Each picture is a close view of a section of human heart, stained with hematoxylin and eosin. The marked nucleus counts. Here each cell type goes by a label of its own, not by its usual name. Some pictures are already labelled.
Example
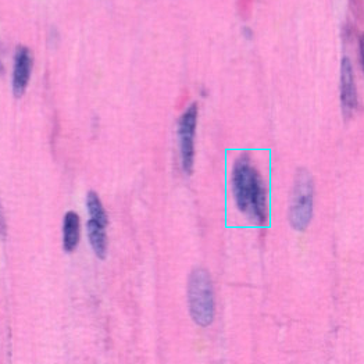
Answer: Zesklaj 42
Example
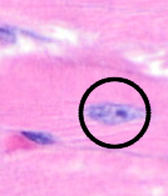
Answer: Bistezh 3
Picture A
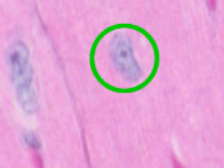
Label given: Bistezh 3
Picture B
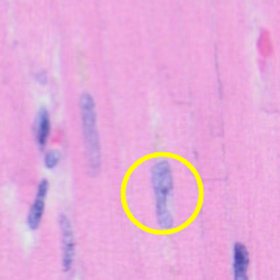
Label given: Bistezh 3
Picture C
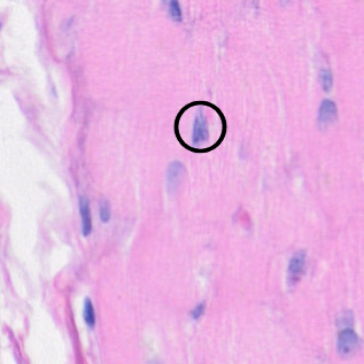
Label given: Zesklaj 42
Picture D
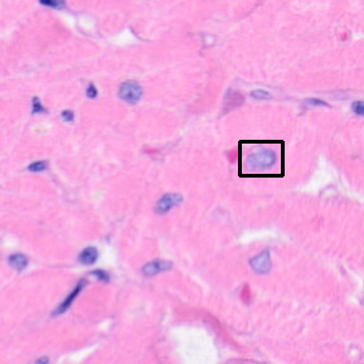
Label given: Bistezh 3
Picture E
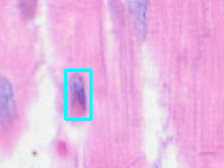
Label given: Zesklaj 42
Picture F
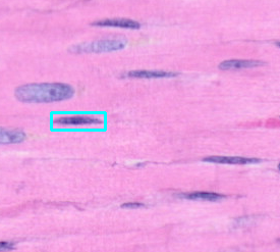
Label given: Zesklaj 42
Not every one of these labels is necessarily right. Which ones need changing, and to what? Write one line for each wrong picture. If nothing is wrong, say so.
Nothing to fix; every label fits.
